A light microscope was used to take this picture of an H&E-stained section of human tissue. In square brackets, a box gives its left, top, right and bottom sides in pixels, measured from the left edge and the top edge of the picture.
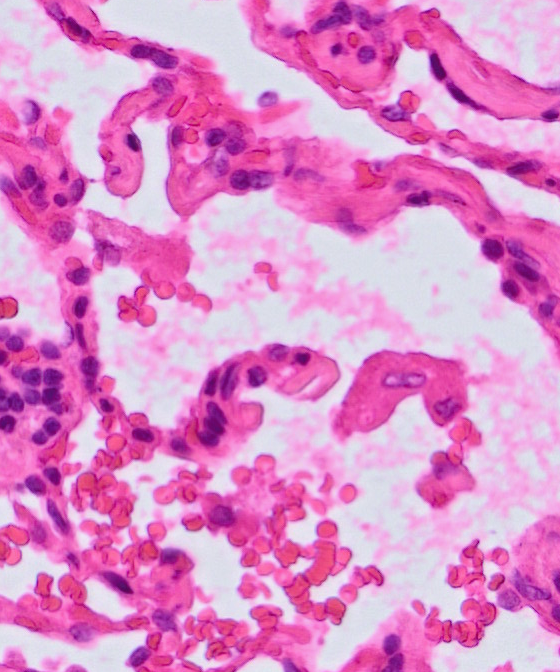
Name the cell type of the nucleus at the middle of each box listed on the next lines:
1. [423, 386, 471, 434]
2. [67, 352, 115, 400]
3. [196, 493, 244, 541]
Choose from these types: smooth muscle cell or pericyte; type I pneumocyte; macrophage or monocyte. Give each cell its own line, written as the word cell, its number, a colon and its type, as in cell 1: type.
cell 1: macrophage or monocyte
cell 2: type I pneumocyte
cell 3: macrophage or monocyte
